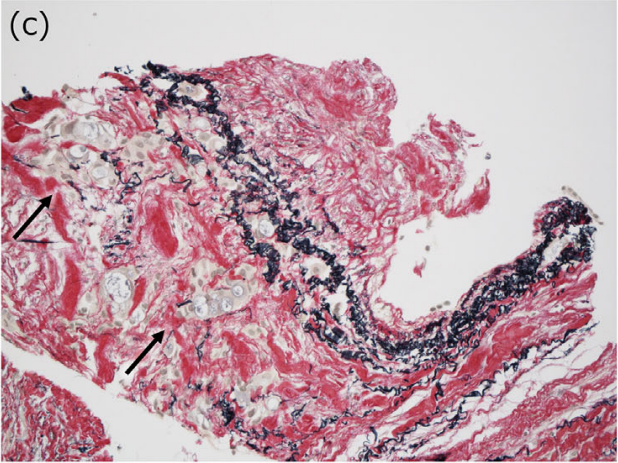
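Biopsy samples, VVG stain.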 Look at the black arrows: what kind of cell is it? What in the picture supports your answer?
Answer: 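Cancer cells. Small clusters of cells with pale, clear cytoplasm lie in red-stained fibrous stroma. Some clusters form small gland-like rings.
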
